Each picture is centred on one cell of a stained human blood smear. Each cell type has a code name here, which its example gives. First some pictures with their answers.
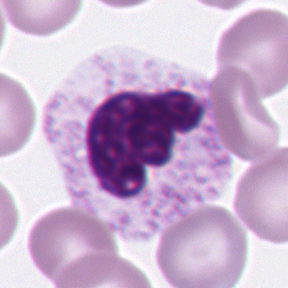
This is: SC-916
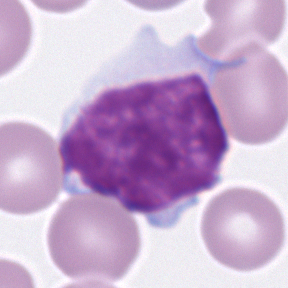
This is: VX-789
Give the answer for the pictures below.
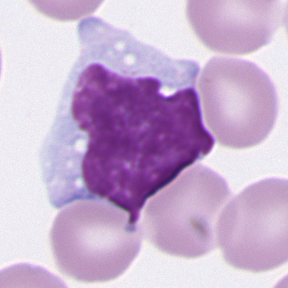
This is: VX-789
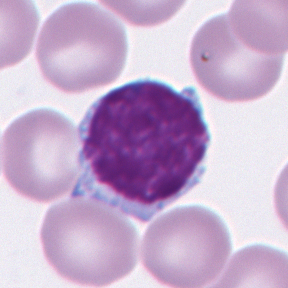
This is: VX-789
